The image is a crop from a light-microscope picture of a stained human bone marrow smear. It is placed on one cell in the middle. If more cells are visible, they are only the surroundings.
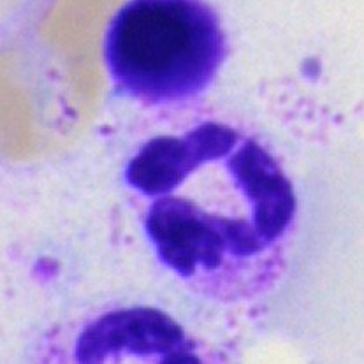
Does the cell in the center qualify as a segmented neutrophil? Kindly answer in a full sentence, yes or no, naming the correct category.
Yes, the cell placed centrally within the crop is a segmented neutrophil.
